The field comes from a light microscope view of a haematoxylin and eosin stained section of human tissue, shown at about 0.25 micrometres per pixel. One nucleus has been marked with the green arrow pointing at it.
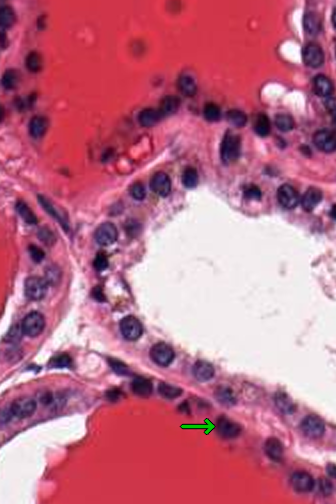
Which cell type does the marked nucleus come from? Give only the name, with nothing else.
thyroid follicular cell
